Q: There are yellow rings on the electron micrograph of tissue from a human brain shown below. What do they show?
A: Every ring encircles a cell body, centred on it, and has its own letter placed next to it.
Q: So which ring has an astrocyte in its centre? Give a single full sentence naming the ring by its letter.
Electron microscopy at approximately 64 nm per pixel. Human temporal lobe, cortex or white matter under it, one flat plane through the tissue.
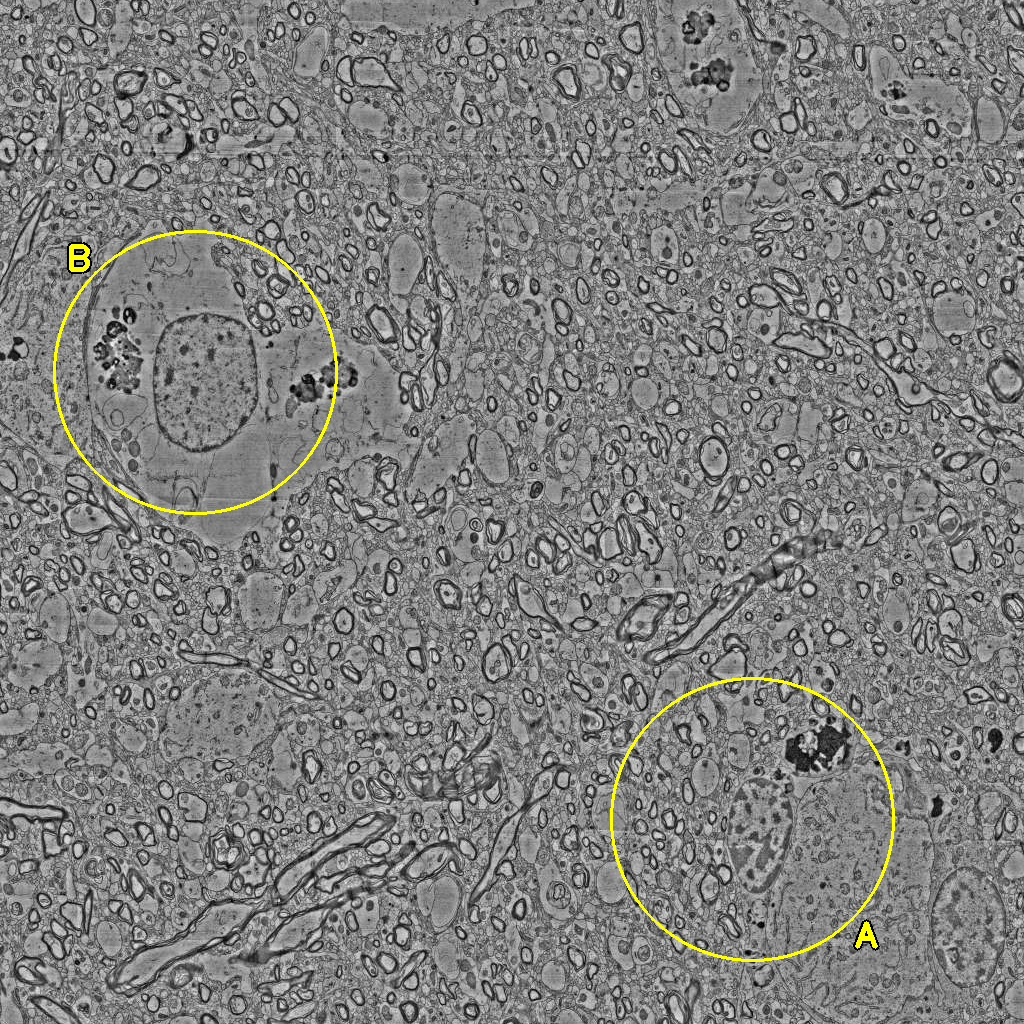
Ring B has the cell asked for at its centre in the picture.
